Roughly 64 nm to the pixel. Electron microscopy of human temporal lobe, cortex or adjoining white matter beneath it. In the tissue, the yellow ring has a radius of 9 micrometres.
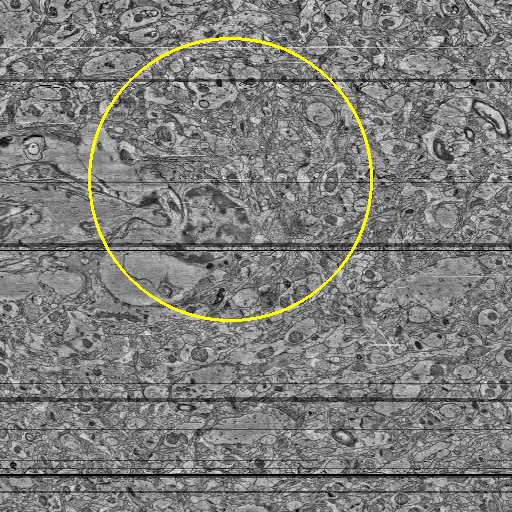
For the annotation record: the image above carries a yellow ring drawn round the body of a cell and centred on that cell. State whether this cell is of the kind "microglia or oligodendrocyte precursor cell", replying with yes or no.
Yes, this cell is of that kind.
